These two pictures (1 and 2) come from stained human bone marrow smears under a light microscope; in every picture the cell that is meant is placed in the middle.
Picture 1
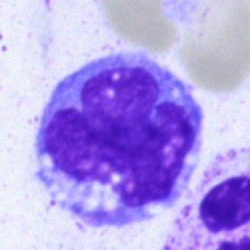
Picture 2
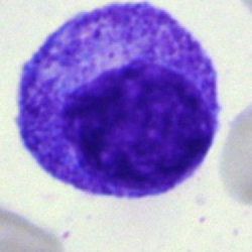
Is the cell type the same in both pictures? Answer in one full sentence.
No; the cell in picture 1 is a monocyte, while the one in picture 2 is a promyelocyte.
